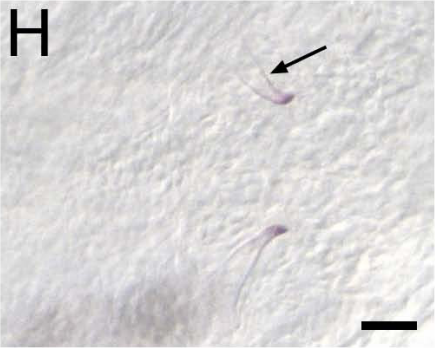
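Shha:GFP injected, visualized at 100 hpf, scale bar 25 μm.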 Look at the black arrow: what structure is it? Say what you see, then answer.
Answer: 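A thin, curved, pointed conical structure. Its tip is tinted pink-purple. A second similar structure lies further down. That points to this answer: mineralized tooth.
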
